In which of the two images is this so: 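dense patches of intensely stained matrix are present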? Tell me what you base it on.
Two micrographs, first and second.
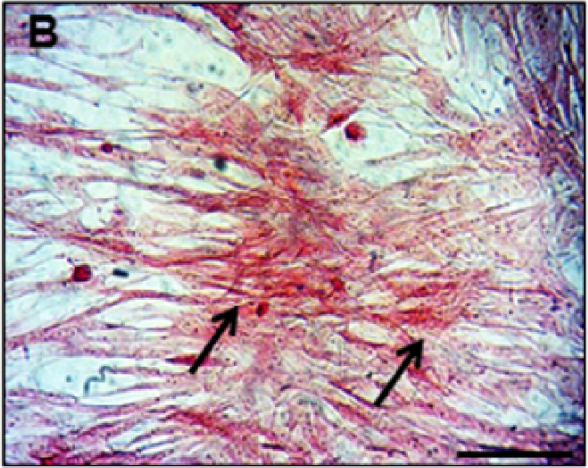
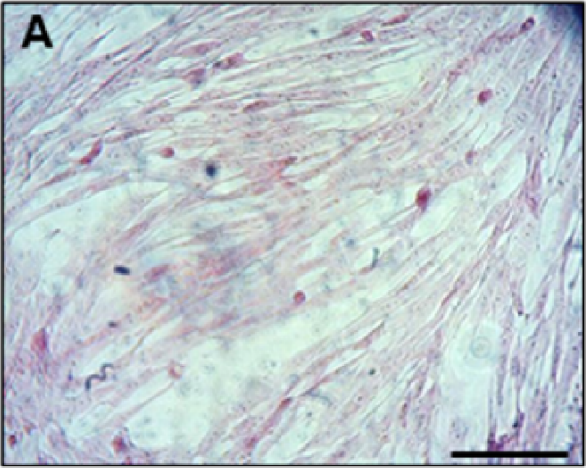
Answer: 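First image: intense red staining concentrated in dense patches among the cells. So: the first image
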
